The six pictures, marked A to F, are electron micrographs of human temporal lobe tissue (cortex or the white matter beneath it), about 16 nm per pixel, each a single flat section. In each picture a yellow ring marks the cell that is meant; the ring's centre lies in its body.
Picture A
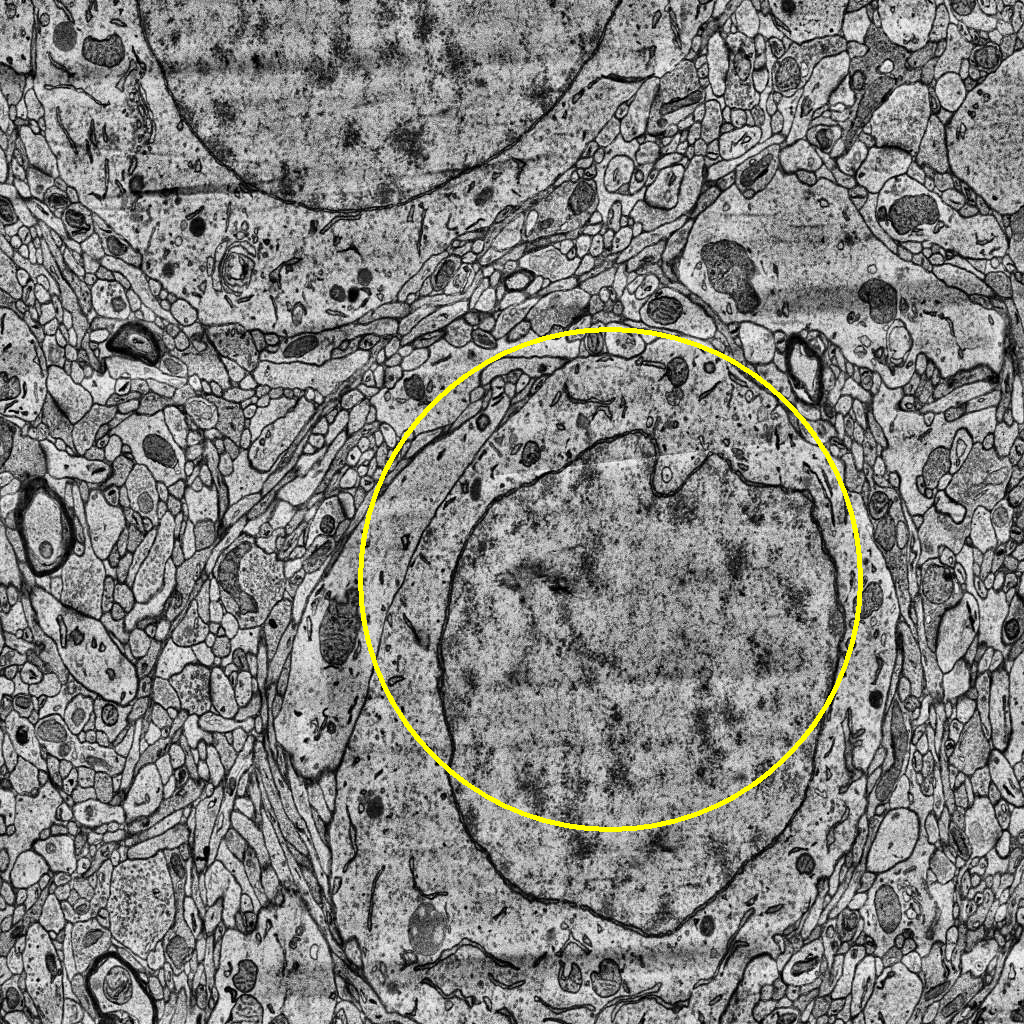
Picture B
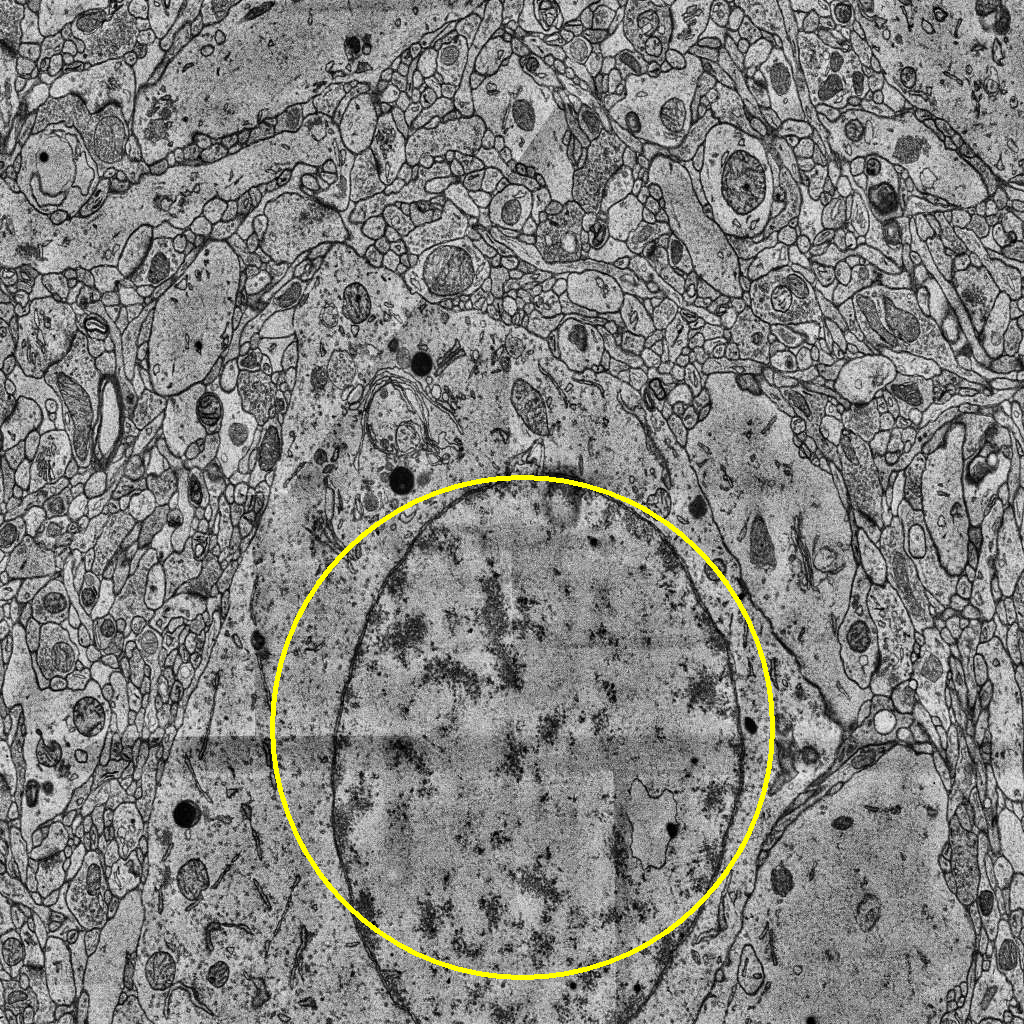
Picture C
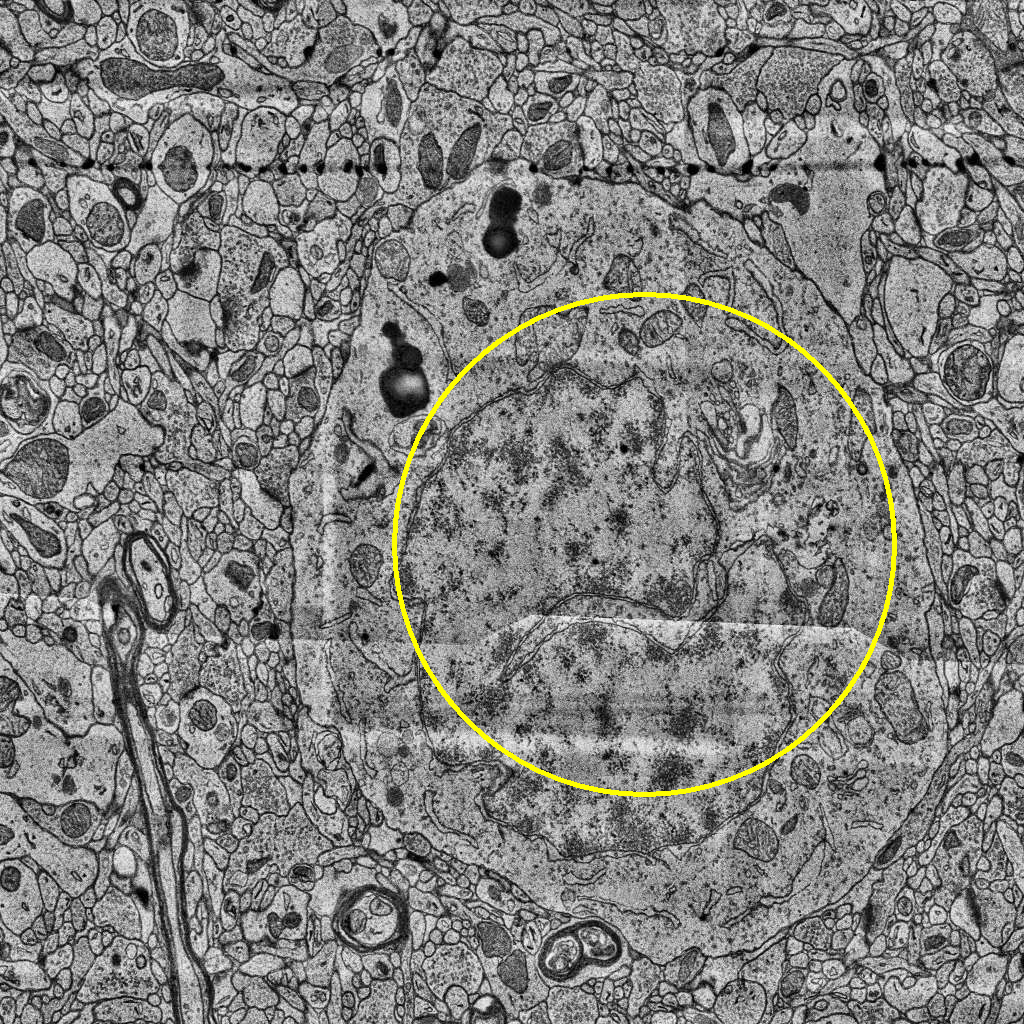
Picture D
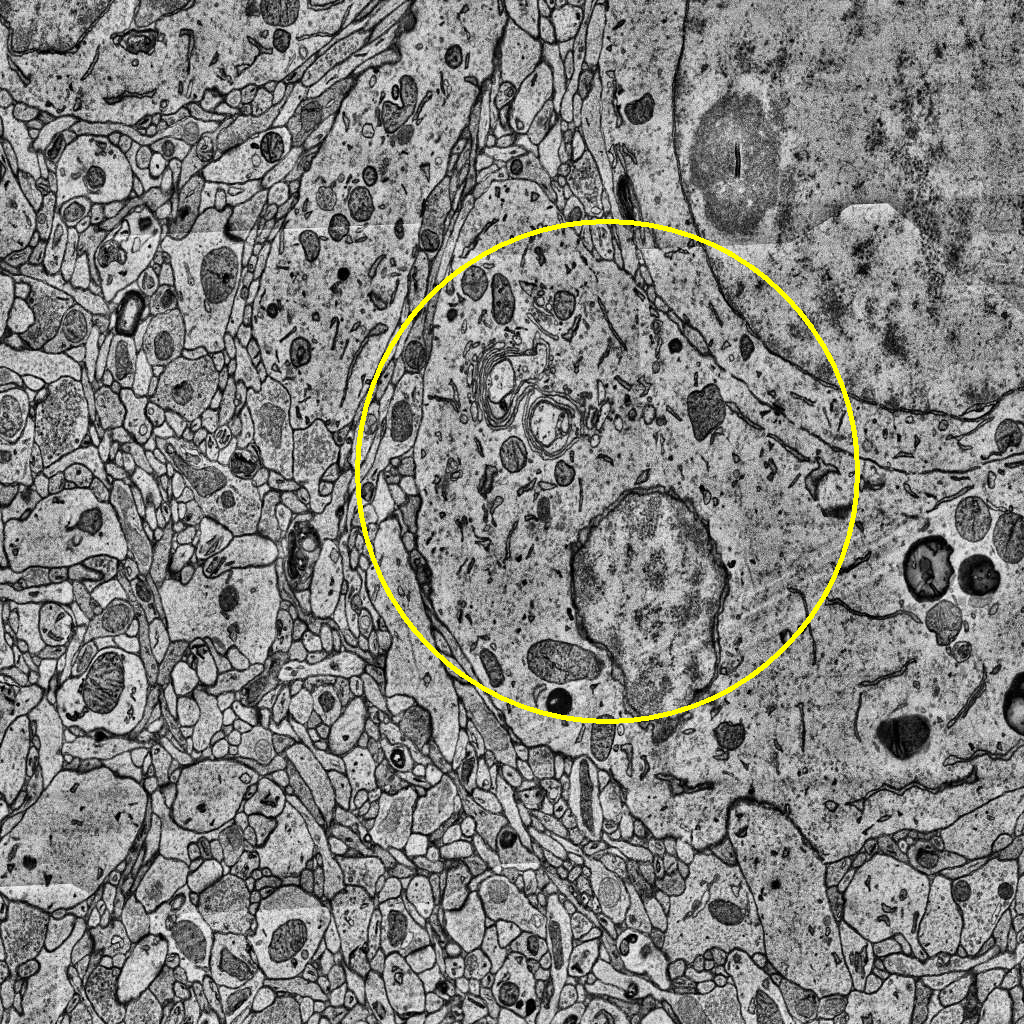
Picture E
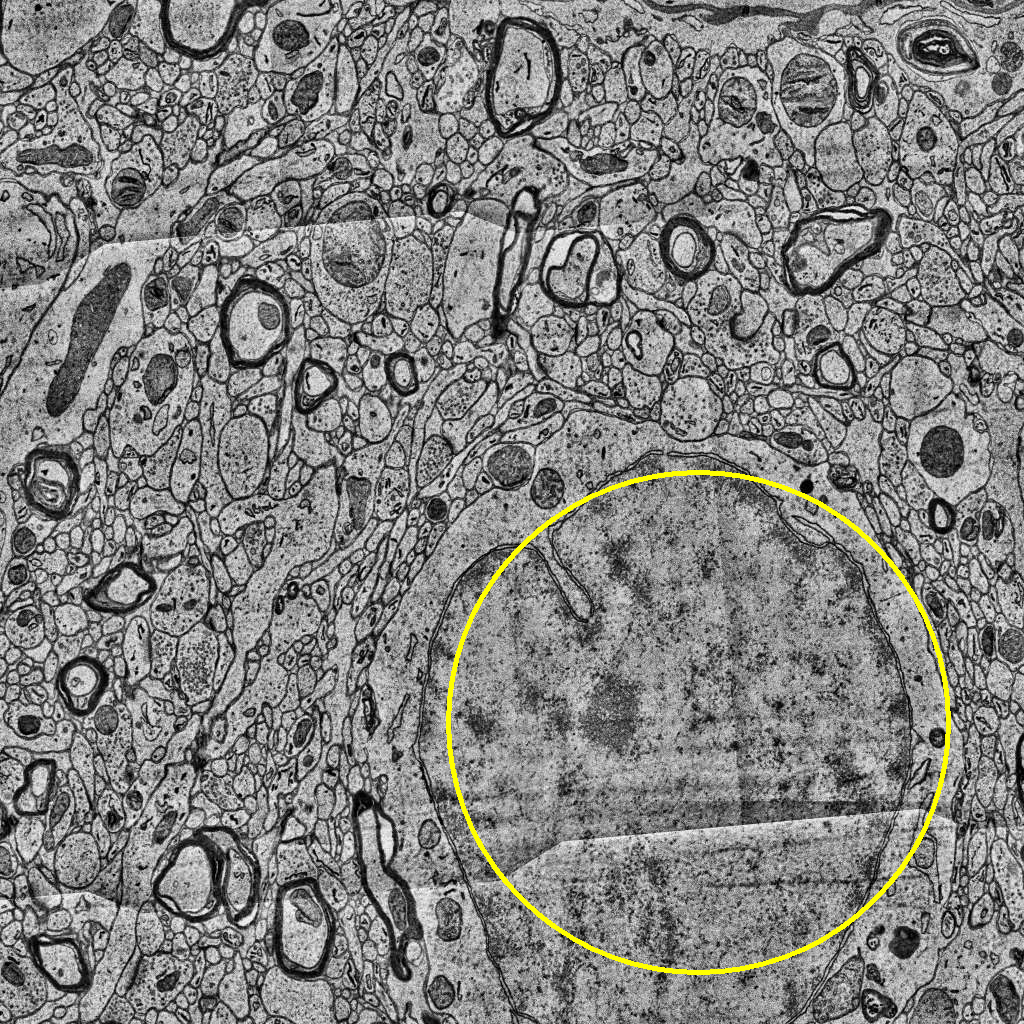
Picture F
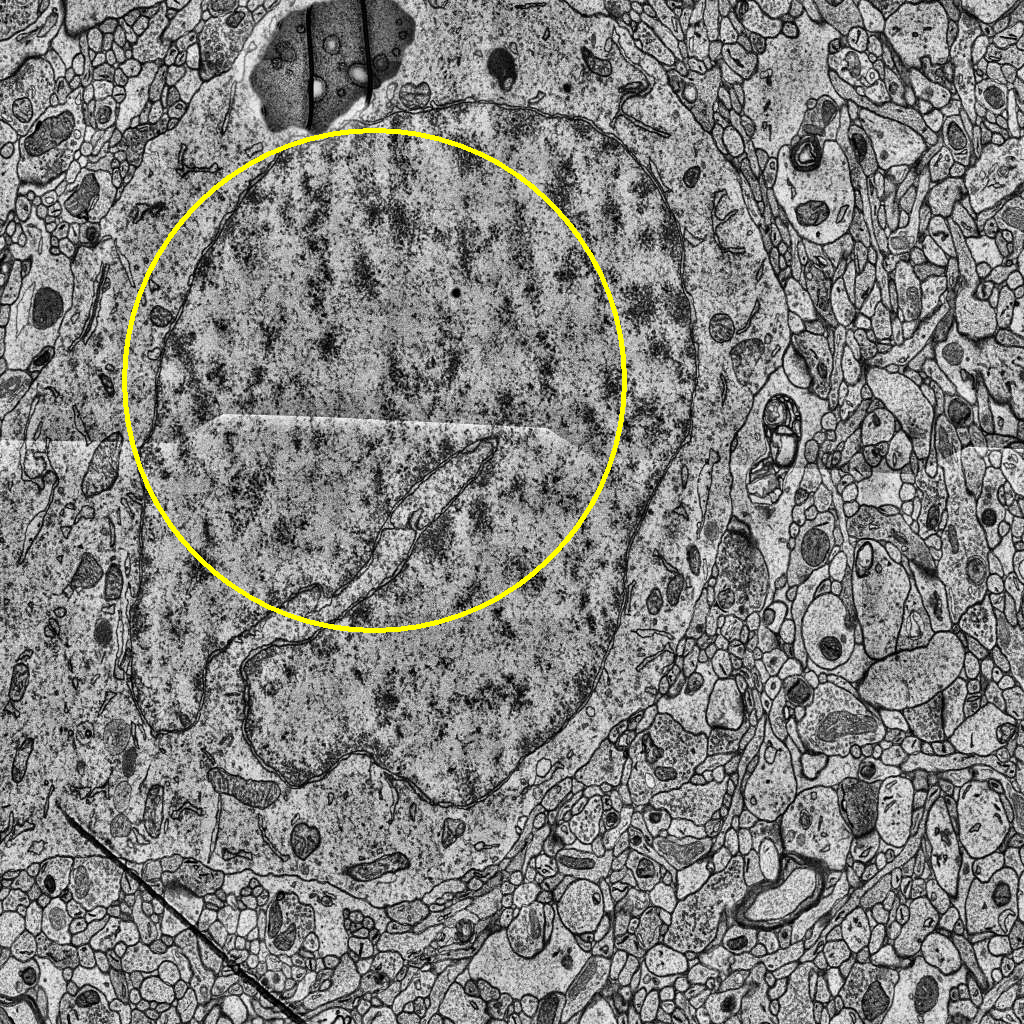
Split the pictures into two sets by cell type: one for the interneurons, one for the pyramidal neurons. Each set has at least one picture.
Pictures C, E and F show interneurons, and pictures A, B and D show pyramidal neurons.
